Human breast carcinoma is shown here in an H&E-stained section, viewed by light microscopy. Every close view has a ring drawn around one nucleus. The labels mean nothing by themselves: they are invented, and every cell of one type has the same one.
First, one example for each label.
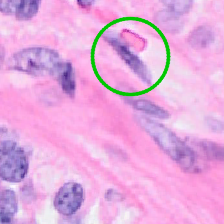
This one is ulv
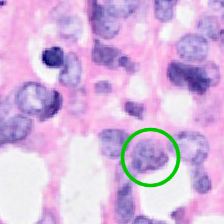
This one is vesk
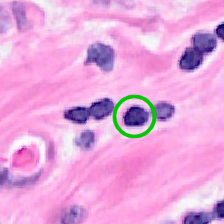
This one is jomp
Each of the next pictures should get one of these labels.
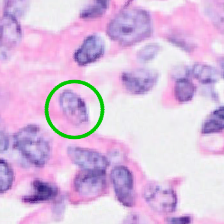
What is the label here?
vesk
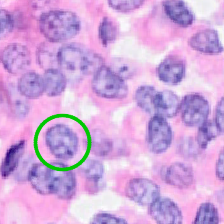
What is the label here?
vesk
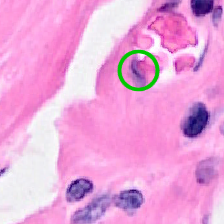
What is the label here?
ulv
